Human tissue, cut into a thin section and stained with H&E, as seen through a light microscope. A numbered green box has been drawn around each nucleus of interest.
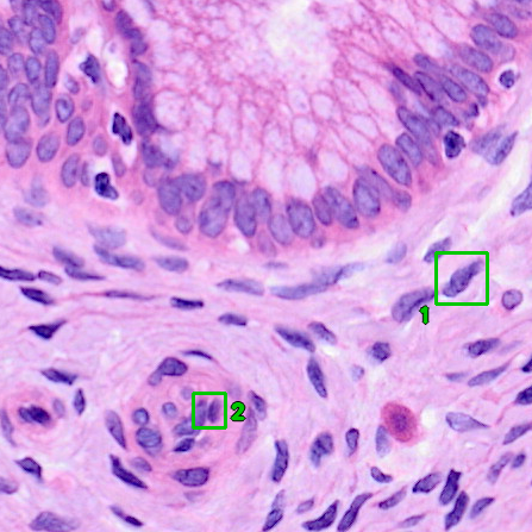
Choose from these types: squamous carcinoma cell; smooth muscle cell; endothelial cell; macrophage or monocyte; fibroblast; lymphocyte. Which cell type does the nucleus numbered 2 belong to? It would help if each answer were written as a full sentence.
Looking at the numbered marks, cell 2 is an endothelial cell.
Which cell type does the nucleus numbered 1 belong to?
The cell indicated with the number 1 is classed as a fibroblast.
